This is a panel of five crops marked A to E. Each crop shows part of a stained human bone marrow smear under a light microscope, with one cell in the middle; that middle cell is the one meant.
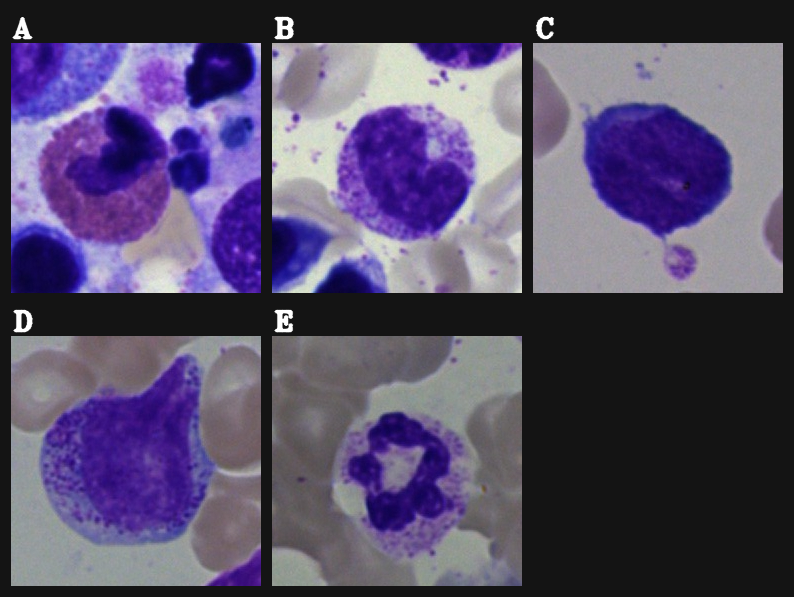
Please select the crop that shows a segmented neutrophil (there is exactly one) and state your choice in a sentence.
Among all the crops given here, the one with a segmented neutrophil is crop E.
